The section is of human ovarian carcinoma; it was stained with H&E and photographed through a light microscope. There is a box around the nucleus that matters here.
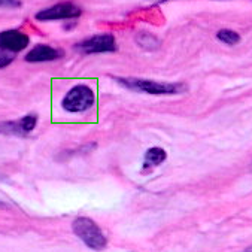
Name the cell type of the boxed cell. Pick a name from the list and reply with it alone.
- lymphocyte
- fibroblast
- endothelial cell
lymphocyte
